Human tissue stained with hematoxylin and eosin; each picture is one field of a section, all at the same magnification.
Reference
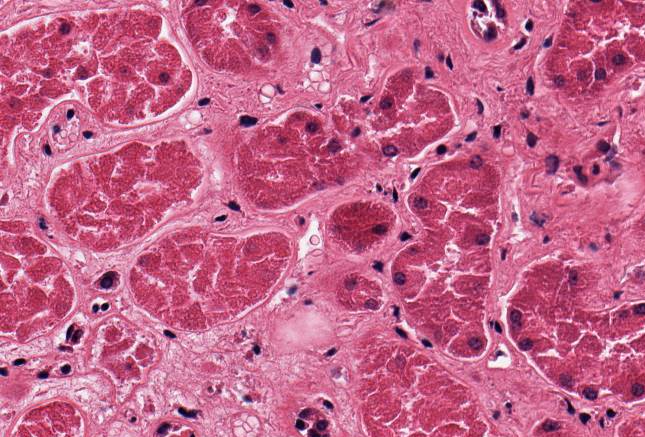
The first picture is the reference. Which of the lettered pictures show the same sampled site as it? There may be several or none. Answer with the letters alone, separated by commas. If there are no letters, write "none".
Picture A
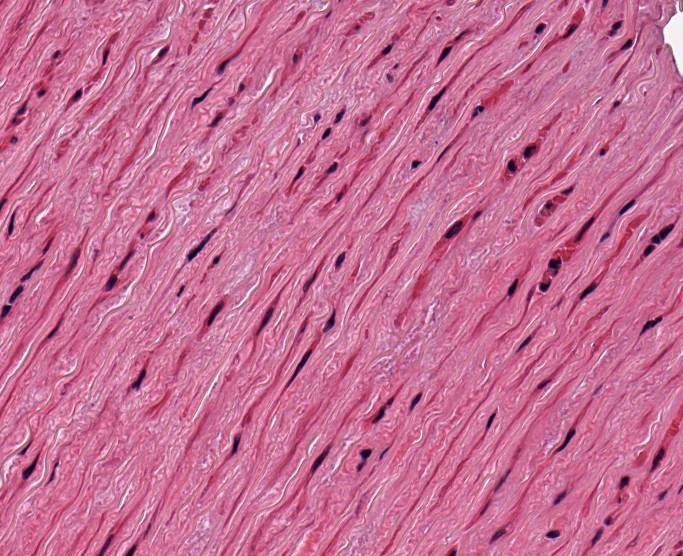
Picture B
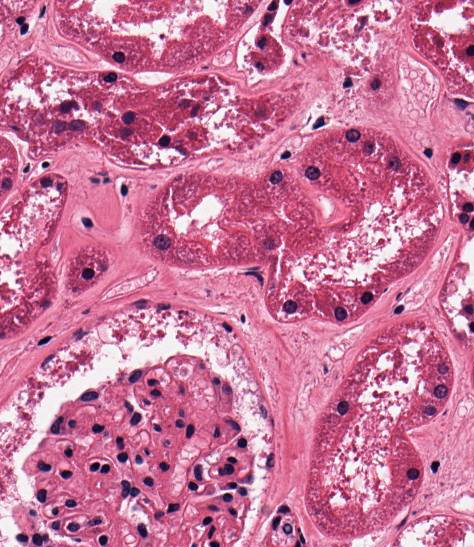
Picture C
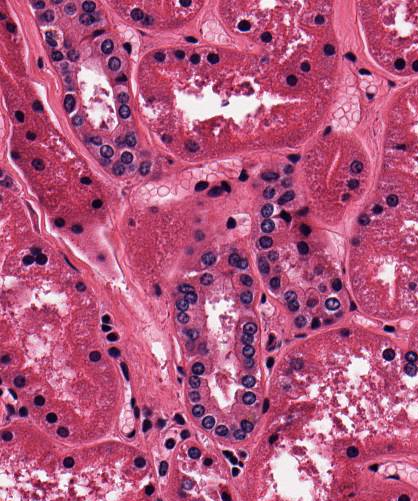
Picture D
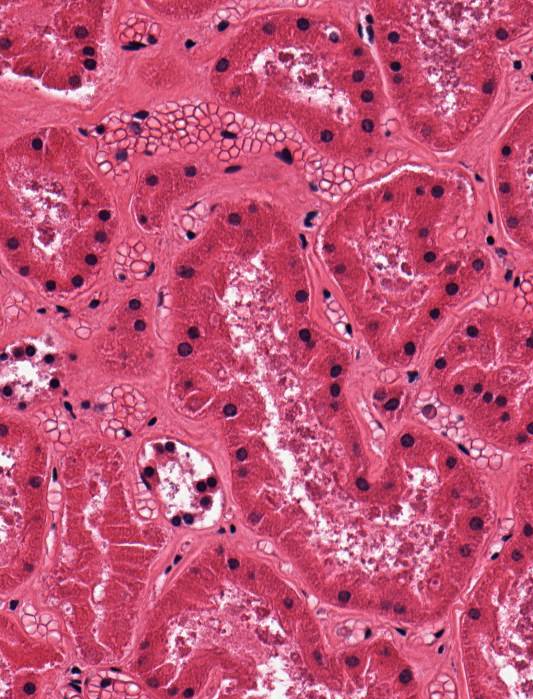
B, C, D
